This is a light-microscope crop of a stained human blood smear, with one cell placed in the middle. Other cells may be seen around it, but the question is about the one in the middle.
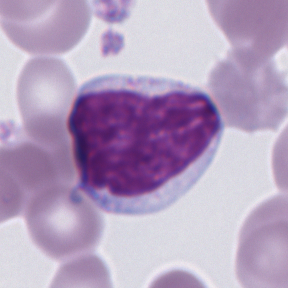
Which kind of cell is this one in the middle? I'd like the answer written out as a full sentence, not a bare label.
The cell positioned in the middle of the field is a large granular lymphocyte.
